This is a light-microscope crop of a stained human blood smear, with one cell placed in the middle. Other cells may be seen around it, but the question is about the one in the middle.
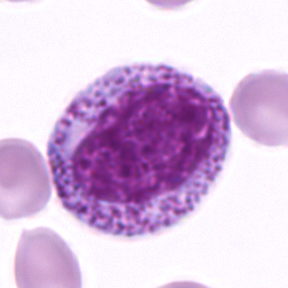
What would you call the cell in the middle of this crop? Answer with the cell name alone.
myelocyte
